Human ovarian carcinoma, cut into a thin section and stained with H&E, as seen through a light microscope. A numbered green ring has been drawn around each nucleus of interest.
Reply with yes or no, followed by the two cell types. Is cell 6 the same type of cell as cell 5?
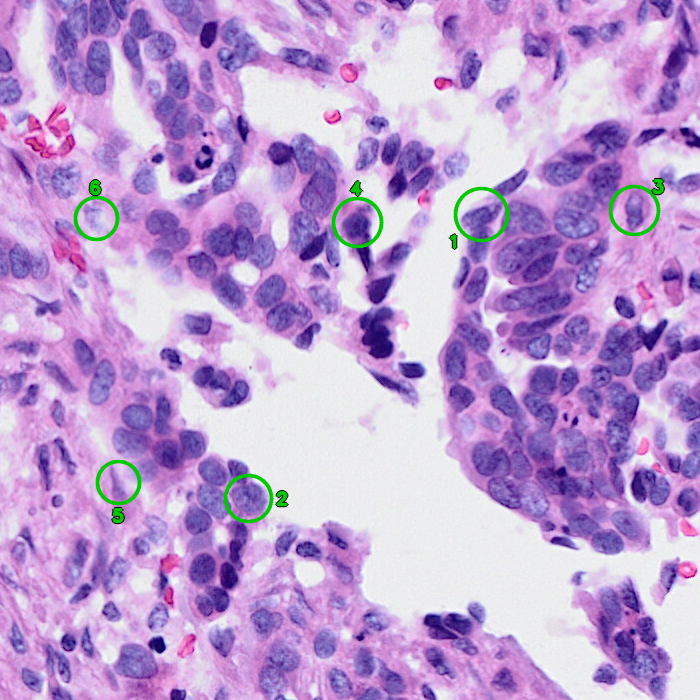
Yes, both are fibroblasts.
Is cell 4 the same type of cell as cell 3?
No, cell 4 is a carcinoma cell and cell 3 is a fibroblast.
